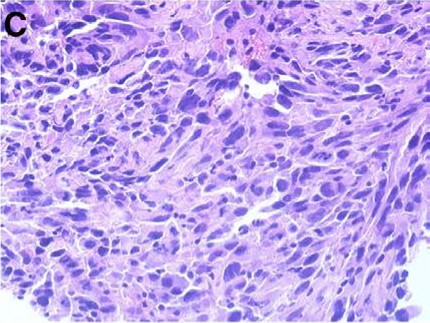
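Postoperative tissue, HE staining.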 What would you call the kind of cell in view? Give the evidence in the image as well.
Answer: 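Spindle-shaped. Many cells and nuclei are elongated and tapered. Cells run in streaming bundles.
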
